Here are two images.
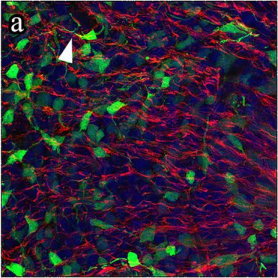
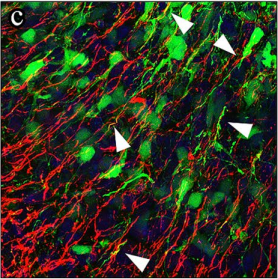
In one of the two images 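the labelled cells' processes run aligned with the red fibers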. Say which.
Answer: The second image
